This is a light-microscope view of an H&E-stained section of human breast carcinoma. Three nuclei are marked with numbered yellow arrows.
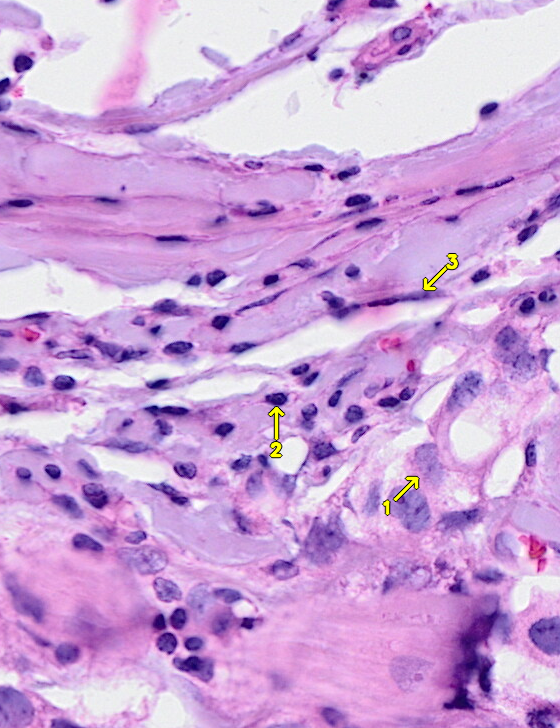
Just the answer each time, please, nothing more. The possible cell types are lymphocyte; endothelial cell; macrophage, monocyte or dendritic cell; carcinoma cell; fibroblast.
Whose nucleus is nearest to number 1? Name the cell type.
carcinoma cell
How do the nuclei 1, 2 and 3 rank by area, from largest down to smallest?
1, 3, 2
